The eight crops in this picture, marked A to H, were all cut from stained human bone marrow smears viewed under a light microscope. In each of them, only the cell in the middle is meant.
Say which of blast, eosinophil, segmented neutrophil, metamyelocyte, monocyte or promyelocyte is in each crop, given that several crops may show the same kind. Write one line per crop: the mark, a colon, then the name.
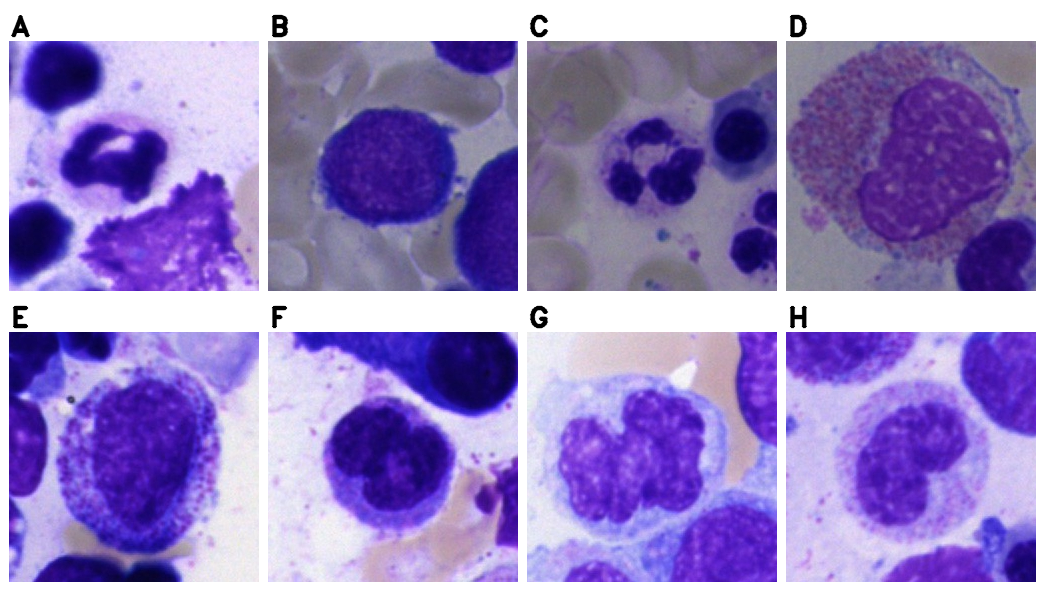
A: segmented neutrophil
B: blast
C: segmented neutrophil
D: eosinophil
E: promyelocyte
F: monocyte
G: monocyte
H: metamyelocyte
